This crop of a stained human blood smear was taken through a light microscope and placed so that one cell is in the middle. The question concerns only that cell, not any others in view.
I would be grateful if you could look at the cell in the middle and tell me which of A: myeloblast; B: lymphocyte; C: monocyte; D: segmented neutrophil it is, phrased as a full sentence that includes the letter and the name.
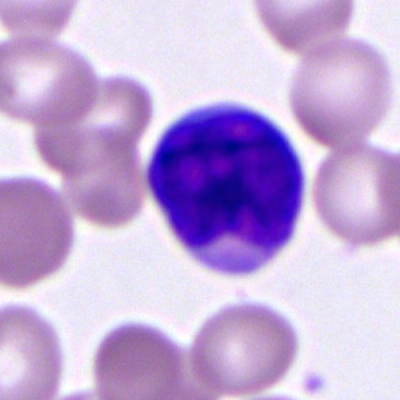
Option A holds, for the cell in the middle is a myeloblast.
